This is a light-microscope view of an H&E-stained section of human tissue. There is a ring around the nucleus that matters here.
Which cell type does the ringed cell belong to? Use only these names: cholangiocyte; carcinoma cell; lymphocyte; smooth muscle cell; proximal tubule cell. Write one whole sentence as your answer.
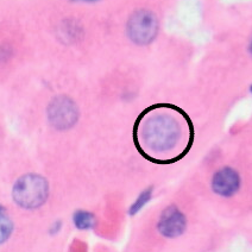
It is as a proximal tubule cell that the ringed cell is recorded.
